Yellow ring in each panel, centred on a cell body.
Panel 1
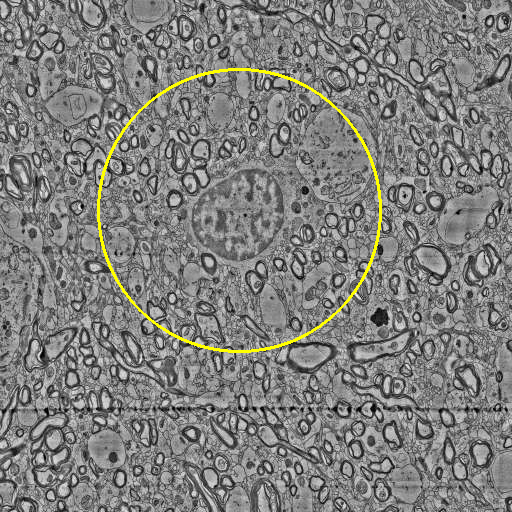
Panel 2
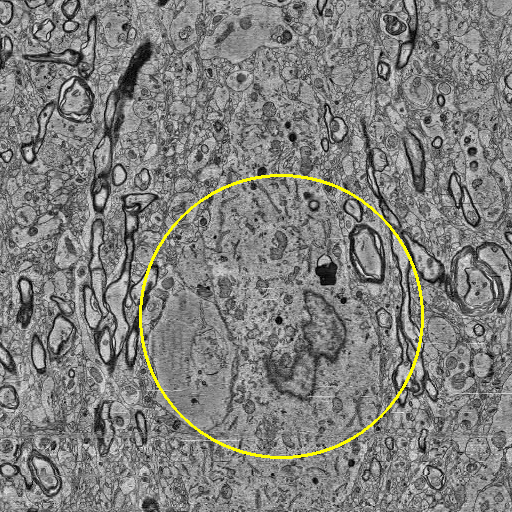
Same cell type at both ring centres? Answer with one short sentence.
No, the two cells are of two types.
